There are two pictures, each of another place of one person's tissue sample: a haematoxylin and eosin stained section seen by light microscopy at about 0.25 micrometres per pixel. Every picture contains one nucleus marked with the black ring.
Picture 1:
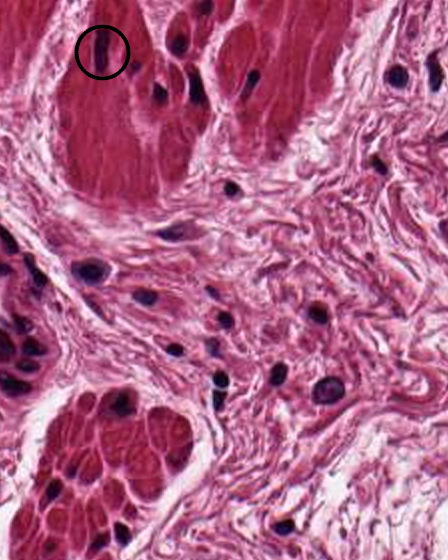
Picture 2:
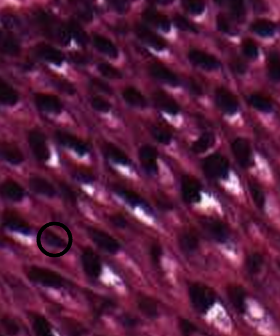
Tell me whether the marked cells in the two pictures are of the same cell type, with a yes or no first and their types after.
No, the first is a smooth muscle cell and the second a squamous epithelial cell.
